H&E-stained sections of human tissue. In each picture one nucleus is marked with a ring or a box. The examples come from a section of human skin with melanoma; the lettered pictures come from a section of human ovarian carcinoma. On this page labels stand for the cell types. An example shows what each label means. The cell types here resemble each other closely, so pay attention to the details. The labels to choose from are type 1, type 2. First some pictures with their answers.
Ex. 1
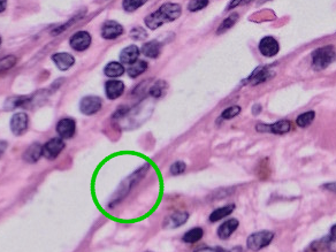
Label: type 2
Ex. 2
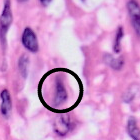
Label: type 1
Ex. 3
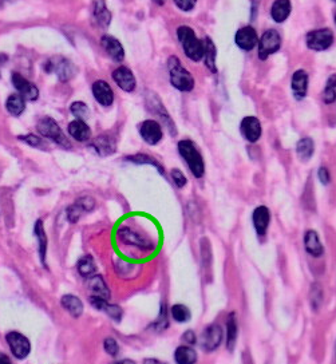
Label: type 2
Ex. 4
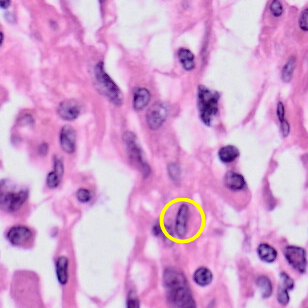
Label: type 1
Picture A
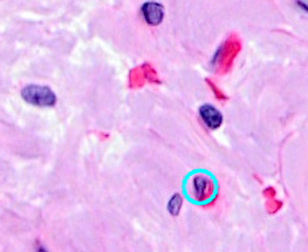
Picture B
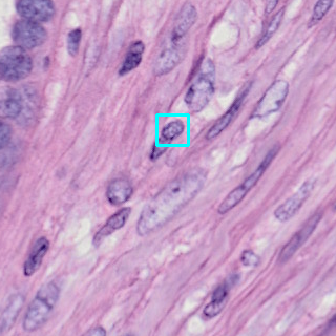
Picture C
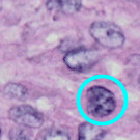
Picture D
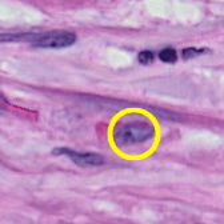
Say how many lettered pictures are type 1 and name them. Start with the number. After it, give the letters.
2: B, C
